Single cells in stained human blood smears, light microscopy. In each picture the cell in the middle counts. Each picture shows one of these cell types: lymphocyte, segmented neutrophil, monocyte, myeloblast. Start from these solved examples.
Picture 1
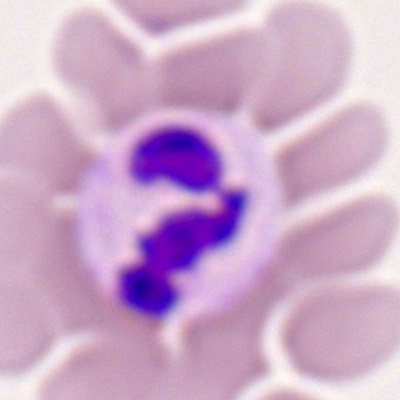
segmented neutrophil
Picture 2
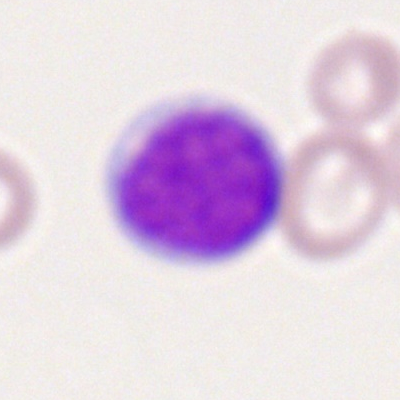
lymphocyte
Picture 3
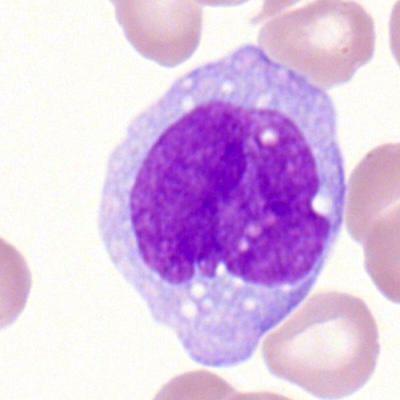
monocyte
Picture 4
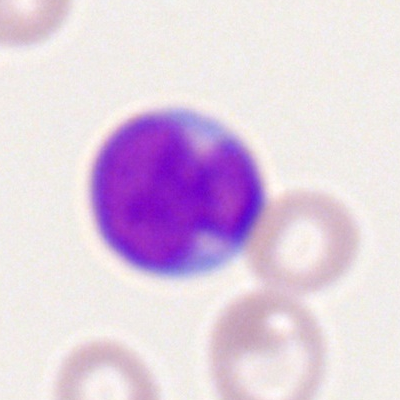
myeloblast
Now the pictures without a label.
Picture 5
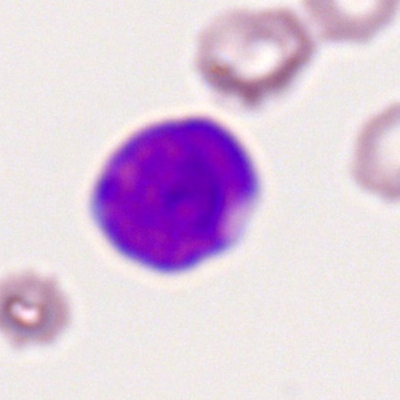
myeloblast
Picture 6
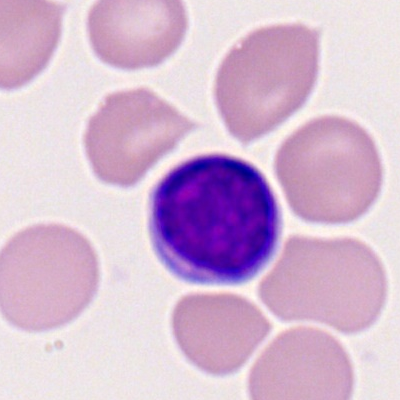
lymphocyte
